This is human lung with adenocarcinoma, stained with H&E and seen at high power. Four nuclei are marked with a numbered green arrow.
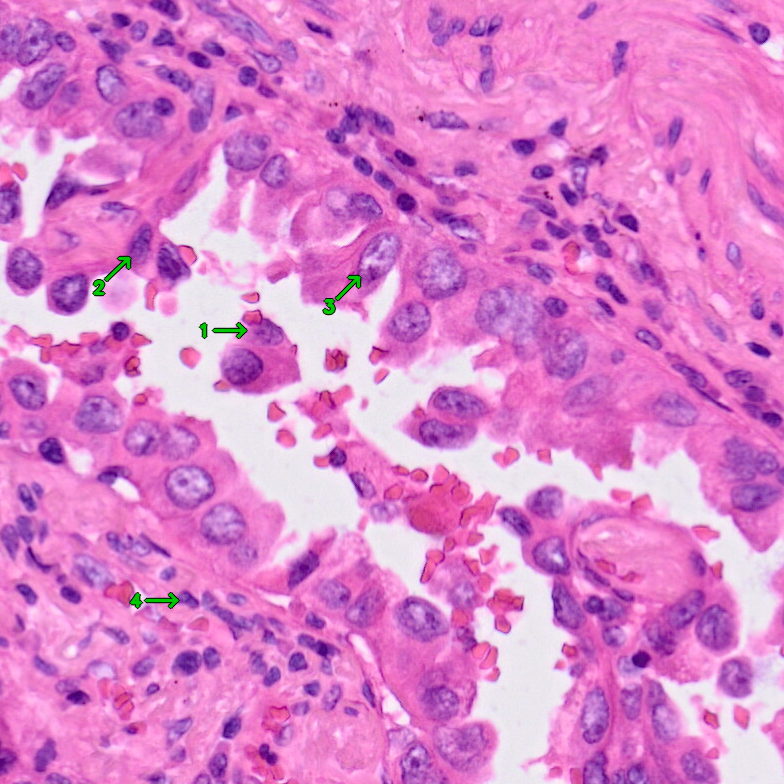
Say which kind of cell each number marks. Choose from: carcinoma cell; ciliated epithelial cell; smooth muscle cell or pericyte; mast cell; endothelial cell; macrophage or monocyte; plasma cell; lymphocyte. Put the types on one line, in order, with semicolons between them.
carcinoma cell; carcinoma cell; carcinoma cell; lymphocyte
